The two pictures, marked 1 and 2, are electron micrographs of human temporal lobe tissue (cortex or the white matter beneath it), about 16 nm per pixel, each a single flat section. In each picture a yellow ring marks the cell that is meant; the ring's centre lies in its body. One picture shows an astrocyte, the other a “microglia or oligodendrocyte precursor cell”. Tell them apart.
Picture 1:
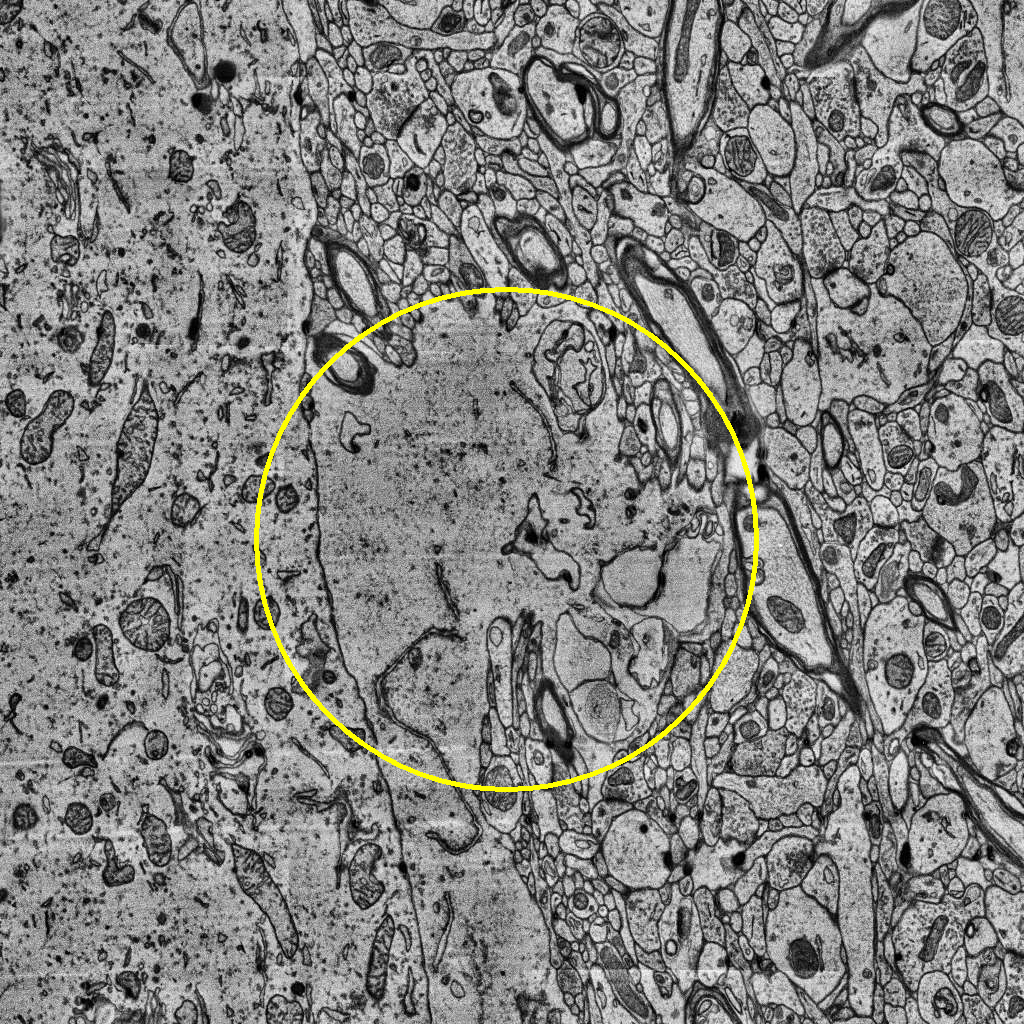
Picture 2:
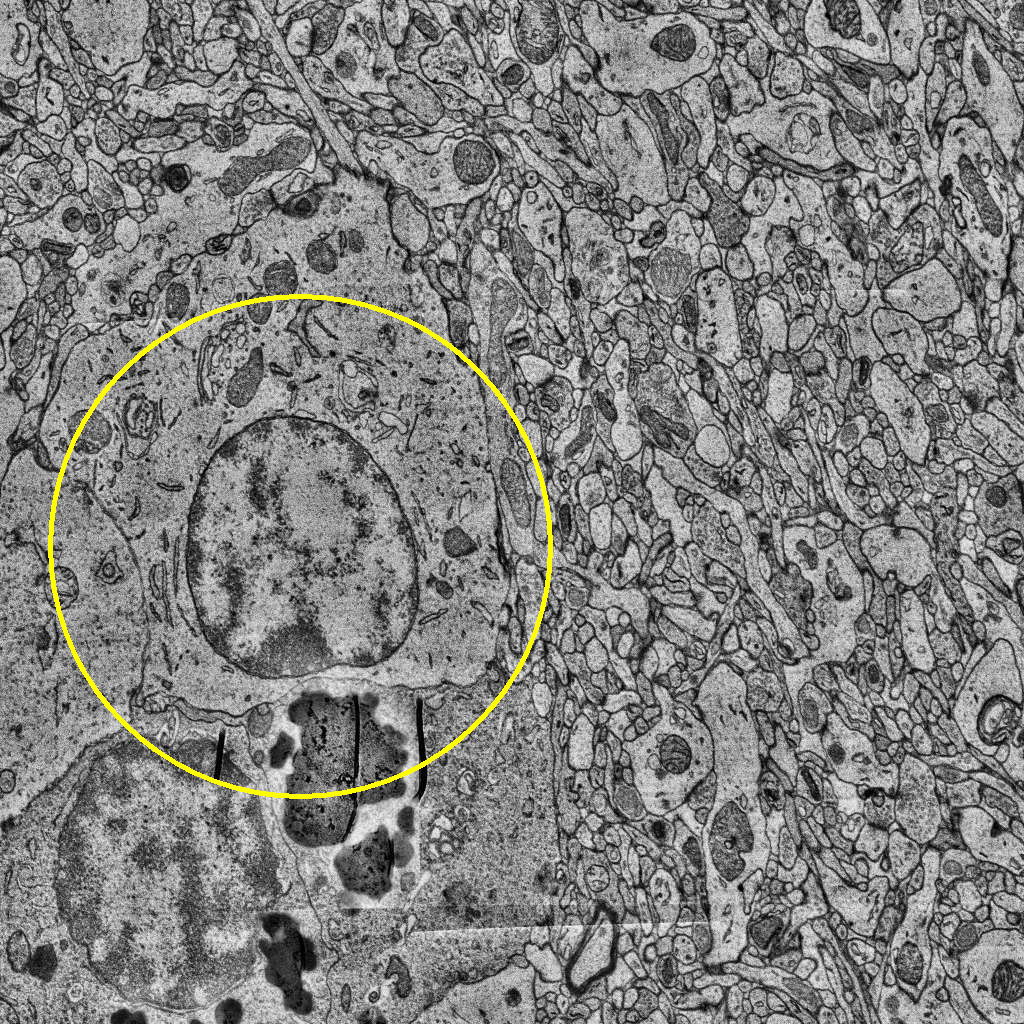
Picture 1 is of an astrocyte, and picture 2 is of a “microglia or oligodendrocyte precursor cell”.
